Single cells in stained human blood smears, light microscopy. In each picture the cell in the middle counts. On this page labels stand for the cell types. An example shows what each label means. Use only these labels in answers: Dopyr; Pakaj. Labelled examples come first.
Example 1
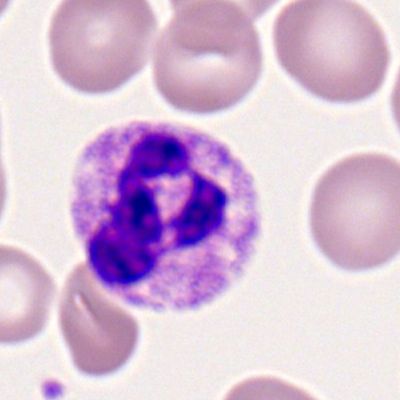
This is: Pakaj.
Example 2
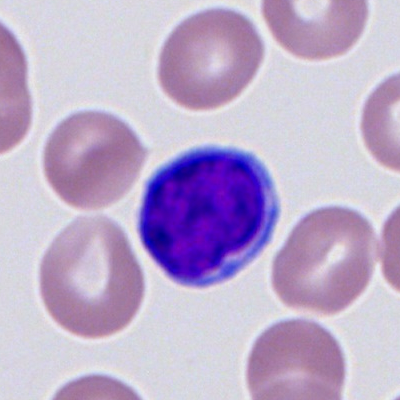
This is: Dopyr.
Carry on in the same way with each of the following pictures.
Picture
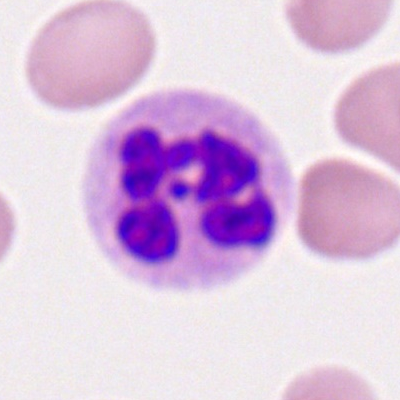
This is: Pakaj.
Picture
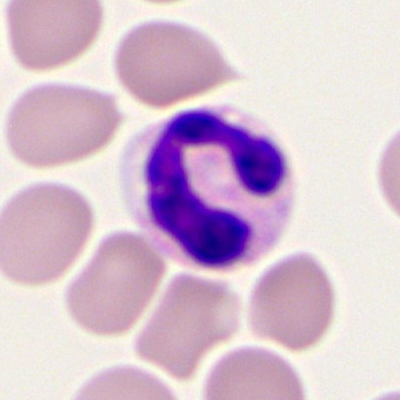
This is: Pakaj.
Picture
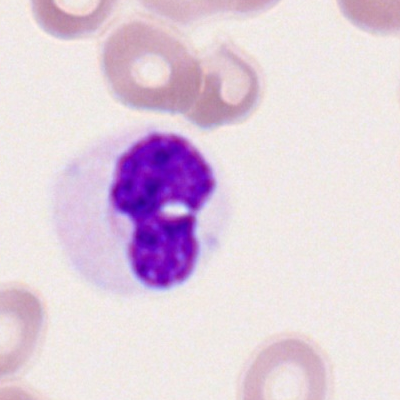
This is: Pakaj.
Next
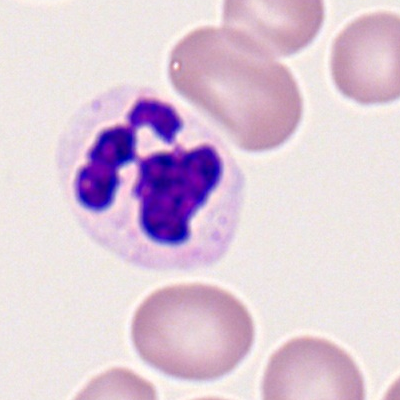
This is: Pakaj.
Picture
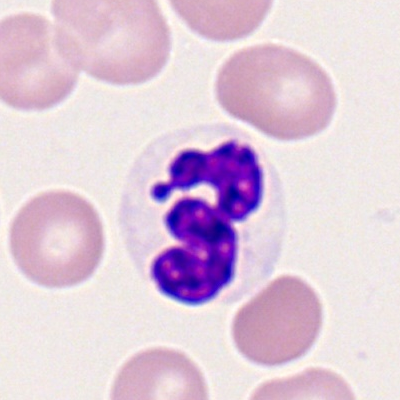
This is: Pakaj.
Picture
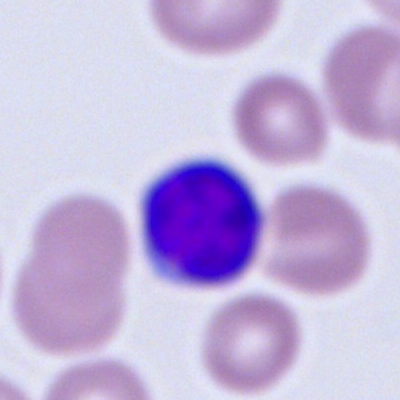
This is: Dopyr.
